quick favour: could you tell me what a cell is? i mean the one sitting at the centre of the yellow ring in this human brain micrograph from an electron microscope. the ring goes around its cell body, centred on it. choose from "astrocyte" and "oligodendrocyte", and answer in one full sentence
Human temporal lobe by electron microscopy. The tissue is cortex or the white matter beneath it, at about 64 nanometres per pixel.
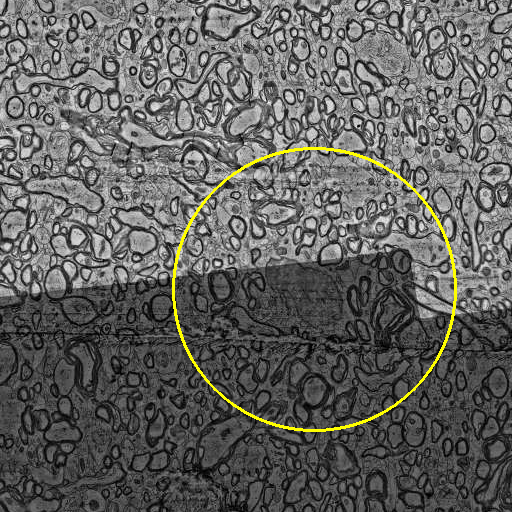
That's an oligodendrocyte, the cell sitting at the centre of the yellow ring.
